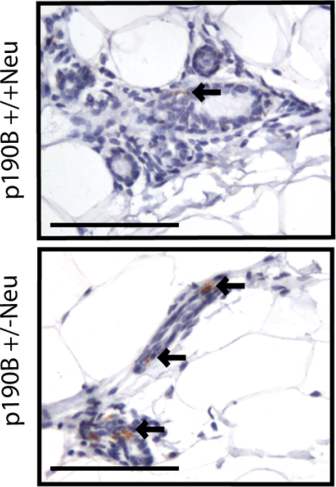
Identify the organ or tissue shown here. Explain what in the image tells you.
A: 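Mammary glands. Small ducts lined by cuboidal epithelial cells with blue nuclei. The ducts lie in a stroma of large, empty-looking fat cells.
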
